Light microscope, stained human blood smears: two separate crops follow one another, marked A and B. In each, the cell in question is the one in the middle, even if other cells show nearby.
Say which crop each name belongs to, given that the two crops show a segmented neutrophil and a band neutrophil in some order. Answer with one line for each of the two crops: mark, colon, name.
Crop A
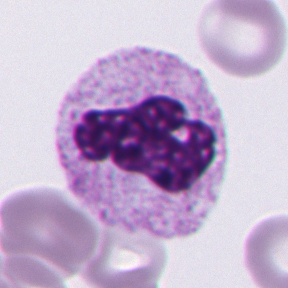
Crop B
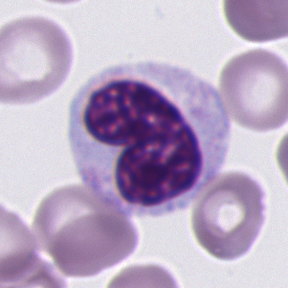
A: segmented neutrophil
B: band neutrophil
